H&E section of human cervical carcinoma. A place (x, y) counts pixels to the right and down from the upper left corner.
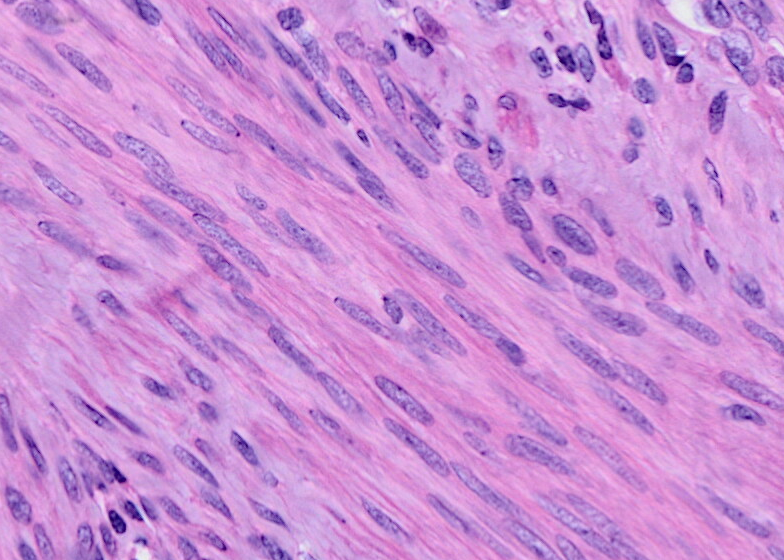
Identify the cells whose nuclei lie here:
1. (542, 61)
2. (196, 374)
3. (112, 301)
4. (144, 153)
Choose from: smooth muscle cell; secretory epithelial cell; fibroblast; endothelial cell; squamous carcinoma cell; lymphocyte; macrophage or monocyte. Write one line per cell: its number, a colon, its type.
1: lymphocyte
2: smooth muscle cell
3: smooth muscle cell
4: smooth muscle cell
